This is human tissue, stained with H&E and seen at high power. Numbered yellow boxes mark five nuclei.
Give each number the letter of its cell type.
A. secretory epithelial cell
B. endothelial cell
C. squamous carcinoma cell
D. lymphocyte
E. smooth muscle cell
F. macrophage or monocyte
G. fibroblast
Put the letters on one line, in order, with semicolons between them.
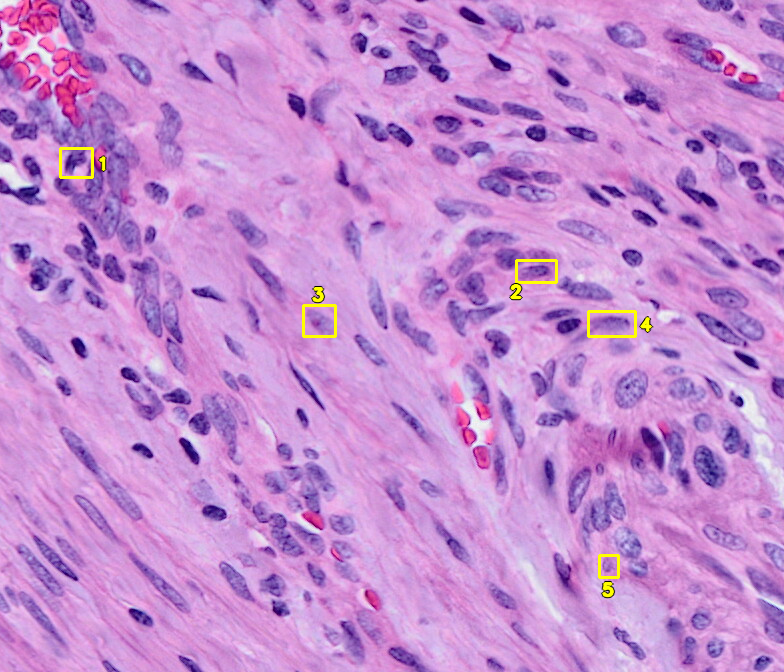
B; B; E; G; E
